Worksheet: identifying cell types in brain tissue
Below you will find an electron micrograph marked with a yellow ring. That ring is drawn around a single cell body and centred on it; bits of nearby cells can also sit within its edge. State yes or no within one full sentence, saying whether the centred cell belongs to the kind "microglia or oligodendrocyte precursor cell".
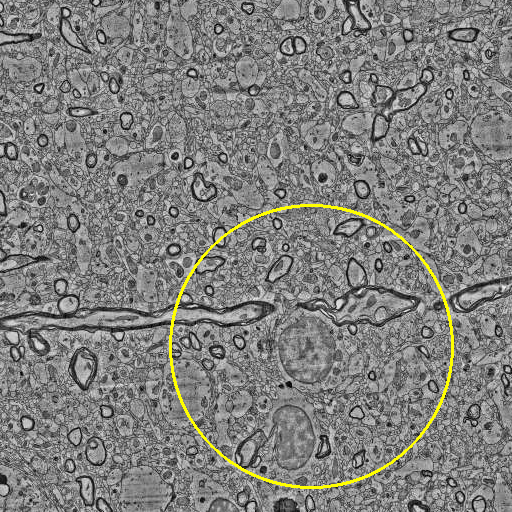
No, the cell sitting at the centre of the yellow ring in this picture is of another kind.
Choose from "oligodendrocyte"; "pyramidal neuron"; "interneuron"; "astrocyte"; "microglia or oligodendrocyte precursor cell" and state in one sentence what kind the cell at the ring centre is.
It is an oligodendrocyte that the ring is centred on.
